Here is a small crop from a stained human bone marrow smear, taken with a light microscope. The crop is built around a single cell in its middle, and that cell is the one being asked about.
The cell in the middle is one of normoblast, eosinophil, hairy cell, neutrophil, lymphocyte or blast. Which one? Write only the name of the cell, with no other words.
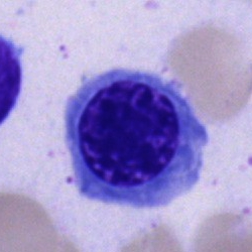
normoblast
